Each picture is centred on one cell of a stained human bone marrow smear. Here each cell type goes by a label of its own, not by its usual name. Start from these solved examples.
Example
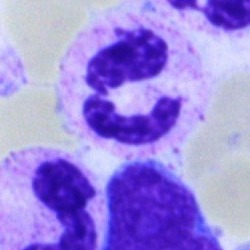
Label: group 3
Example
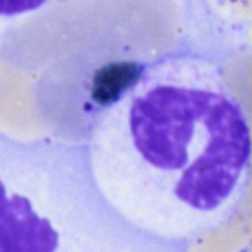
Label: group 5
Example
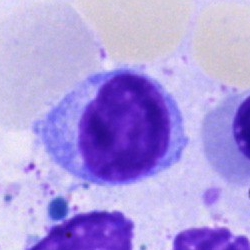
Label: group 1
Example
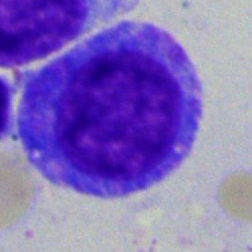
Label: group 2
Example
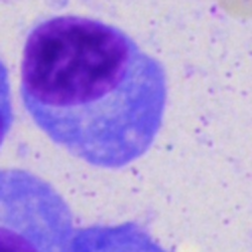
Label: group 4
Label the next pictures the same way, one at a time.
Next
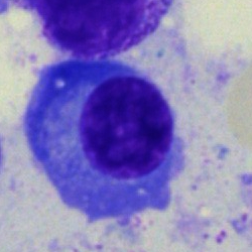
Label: group 4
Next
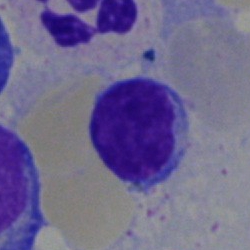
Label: group 1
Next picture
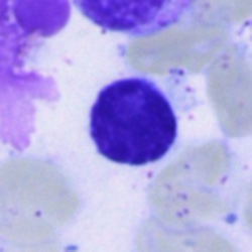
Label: group 1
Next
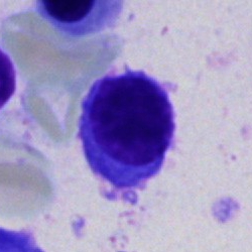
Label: group 4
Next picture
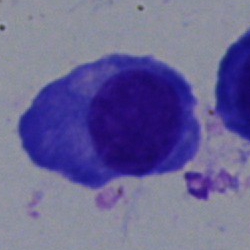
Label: group 4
